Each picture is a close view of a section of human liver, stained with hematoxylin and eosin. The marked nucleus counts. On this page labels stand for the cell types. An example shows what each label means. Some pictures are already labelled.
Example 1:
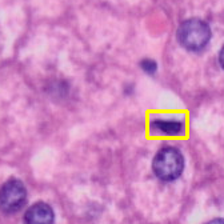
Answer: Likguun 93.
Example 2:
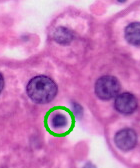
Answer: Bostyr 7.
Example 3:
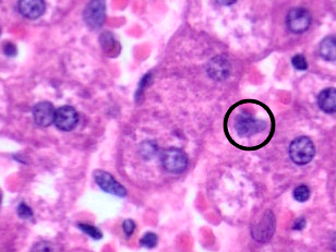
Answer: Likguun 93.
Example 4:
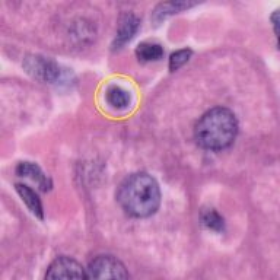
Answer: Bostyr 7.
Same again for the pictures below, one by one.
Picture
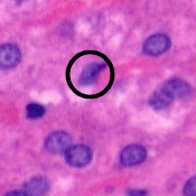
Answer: Likguun 93.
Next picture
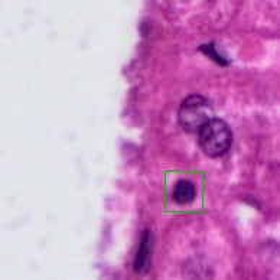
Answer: Bostyr 7.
